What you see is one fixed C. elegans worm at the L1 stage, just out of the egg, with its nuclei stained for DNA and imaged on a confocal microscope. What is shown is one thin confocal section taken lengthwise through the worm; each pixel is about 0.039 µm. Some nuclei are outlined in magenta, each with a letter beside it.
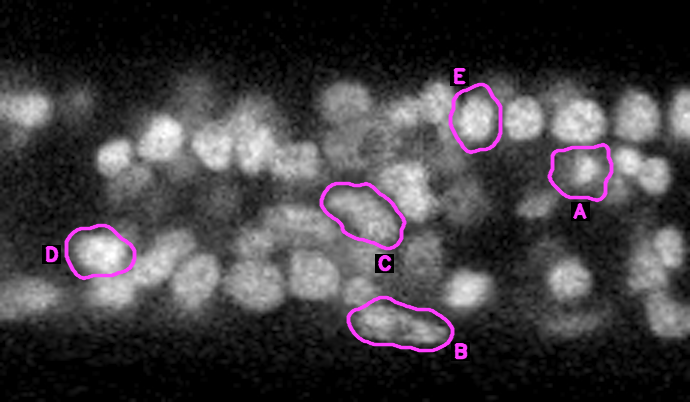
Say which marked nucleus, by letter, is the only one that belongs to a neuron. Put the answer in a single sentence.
E is the one that belongs to a neuron.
